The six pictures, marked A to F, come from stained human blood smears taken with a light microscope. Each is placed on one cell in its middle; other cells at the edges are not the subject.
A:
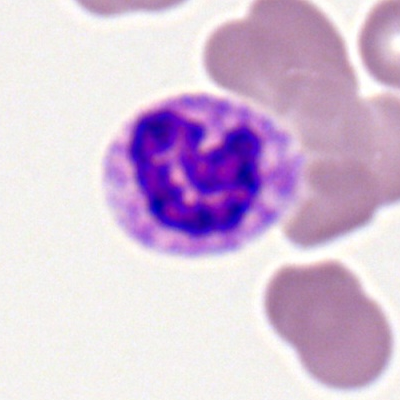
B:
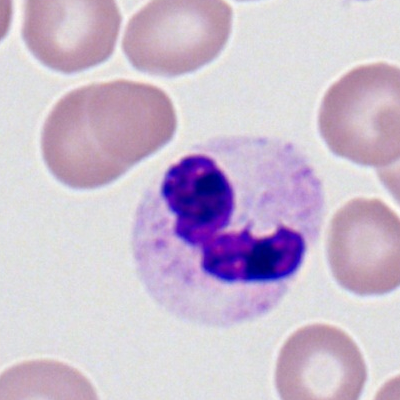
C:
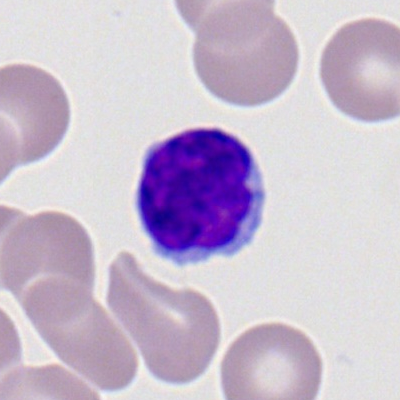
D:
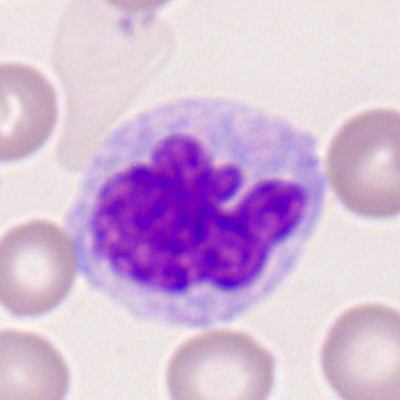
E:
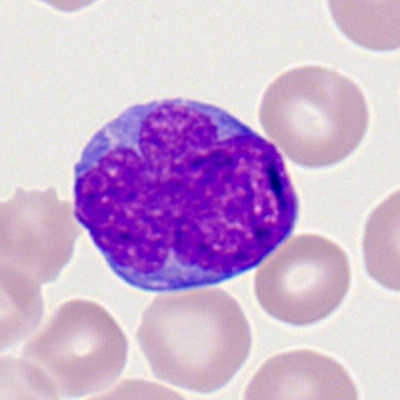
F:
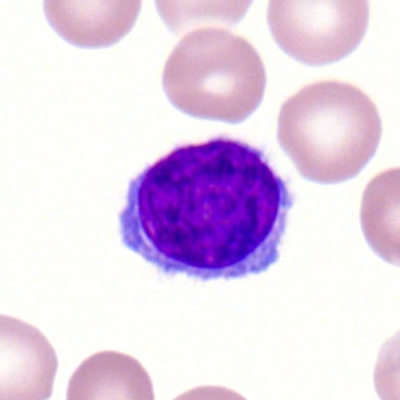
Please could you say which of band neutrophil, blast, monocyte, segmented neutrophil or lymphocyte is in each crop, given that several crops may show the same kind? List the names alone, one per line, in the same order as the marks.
segmented neutrophil
segmented neutrophil
lymphocyte
monocyte
blast
lymphocyte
